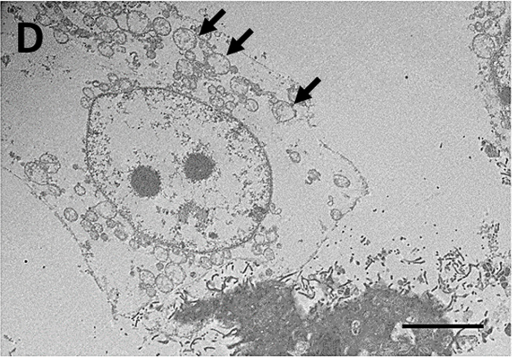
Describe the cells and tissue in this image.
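A single cultured cell seen by transmission electron microscopy, with an oval nucleus bounded by a distinct nuclear envelope and containing two round, dense nucleoli. The cytoplasm is pale and sparse, with little electron-dense material. The cell outline is irregular and partly fragmented, in contrast to the dense cytoplasm of a neighbouring cell at the lower edge.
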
